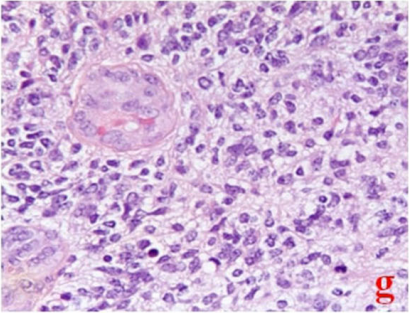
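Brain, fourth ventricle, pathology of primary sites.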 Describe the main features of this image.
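This is a densely cellular tumour tissue made of crowded cells with dark purple, oval to irregular nuclei and scant pale pink cytoplasm. The nuclei vary in size and shape and lie in a loose, faintly fibrillar pink background. At the upper left a rounded, tufted vascular structure with a pink wall is lined by plump, piled-up cells, and a similar tuft lies at the lower left edge. These tufted vessels are microvascular proliferation within an infiltrative, cellular neoplasm.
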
